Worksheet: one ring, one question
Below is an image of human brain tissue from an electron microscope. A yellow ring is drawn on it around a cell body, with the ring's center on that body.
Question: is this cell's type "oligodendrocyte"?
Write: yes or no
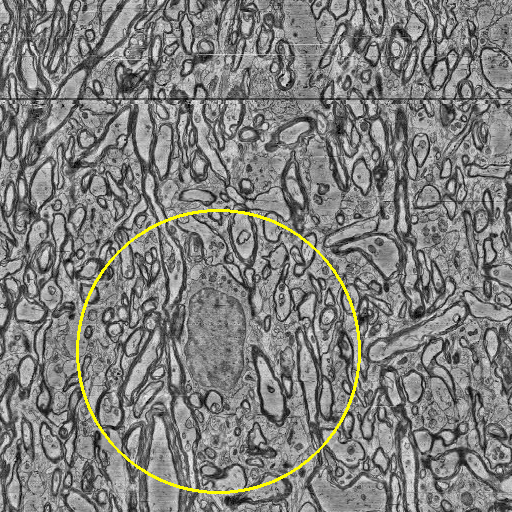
yes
